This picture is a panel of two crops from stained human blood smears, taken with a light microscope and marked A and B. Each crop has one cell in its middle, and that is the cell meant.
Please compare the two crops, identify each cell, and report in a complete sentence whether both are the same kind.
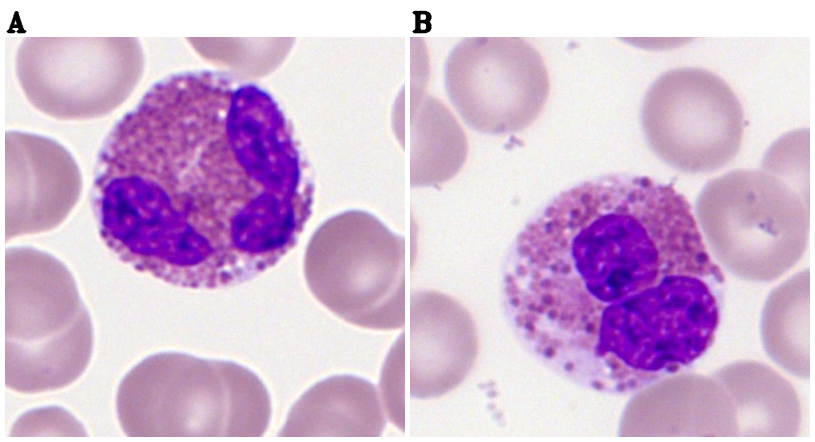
Yes, both crops show eosinophils as their central cells.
